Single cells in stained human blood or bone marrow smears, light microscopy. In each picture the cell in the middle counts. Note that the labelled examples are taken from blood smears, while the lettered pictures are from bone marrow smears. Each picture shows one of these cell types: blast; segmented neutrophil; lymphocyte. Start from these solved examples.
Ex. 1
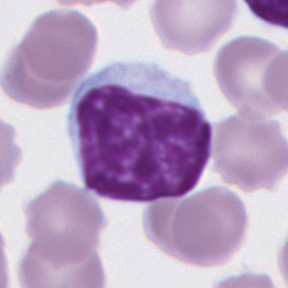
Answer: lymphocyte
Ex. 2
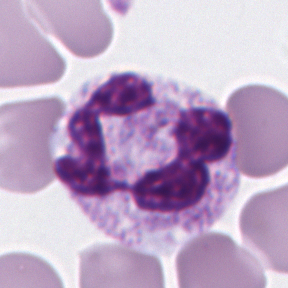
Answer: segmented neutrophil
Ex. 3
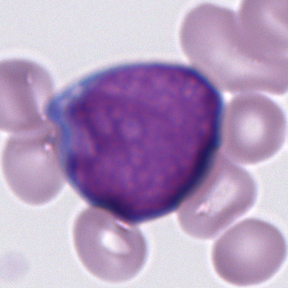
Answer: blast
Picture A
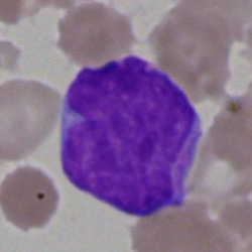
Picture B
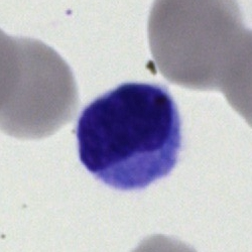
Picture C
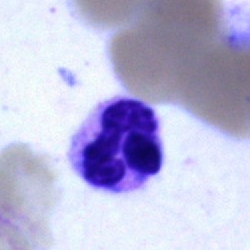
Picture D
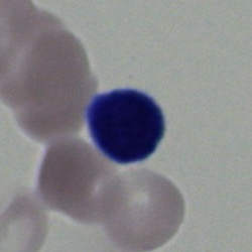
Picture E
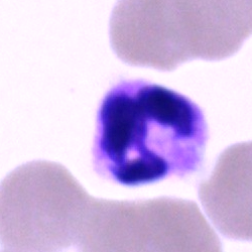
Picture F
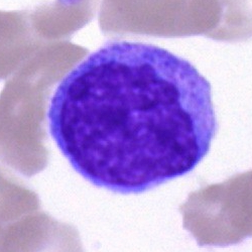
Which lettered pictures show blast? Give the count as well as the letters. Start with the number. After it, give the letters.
2, namely A, F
